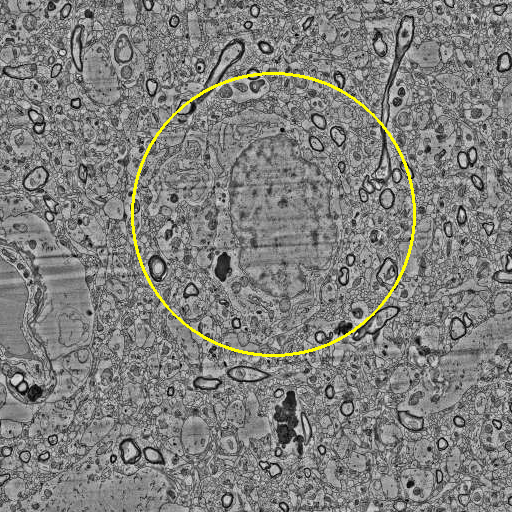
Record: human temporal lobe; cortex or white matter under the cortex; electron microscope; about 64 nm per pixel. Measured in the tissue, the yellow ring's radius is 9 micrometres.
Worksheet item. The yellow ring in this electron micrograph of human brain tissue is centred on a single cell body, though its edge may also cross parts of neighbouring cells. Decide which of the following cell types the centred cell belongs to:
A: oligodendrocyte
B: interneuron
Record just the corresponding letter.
B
